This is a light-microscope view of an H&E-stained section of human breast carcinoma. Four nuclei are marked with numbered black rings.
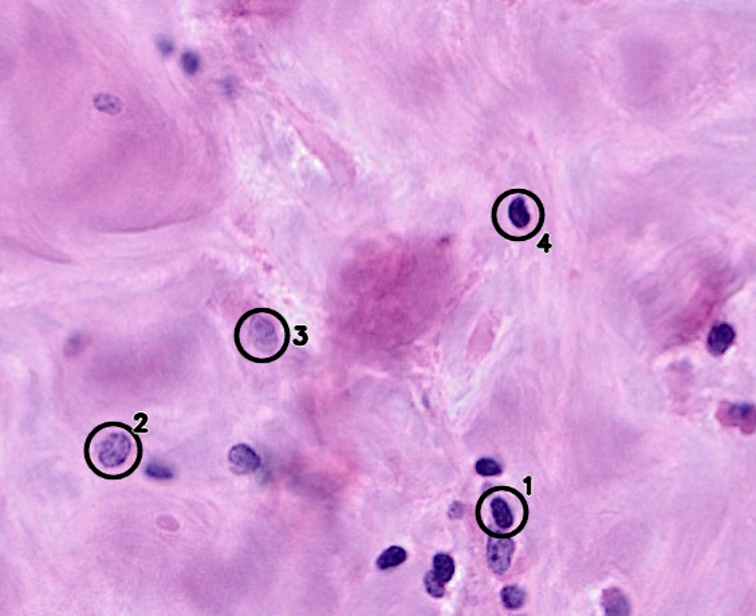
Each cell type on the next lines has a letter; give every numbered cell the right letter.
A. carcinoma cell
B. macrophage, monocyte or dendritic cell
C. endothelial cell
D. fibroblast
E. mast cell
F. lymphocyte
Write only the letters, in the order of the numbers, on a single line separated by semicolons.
F; B; D; F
